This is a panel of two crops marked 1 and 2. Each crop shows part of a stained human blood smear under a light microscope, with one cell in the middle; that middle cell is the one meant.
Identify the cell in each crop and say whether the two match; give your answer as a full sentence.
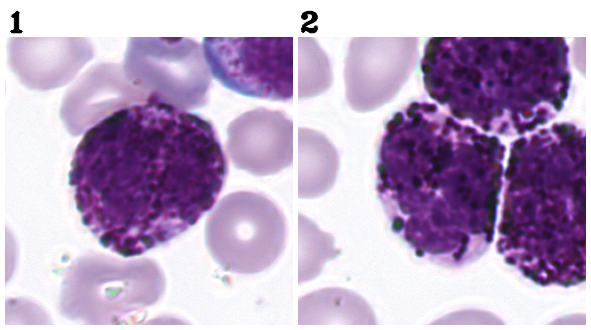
Yes, basophils are depicted in both crops.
